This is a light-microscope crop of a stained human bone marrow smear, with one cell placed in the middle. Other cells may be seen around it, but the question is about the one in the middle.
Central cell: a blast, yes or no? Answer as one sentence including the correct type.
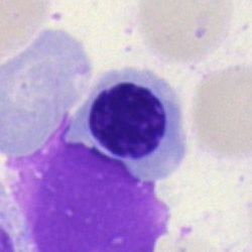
No, the central cell is a normoblast, not a blast.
